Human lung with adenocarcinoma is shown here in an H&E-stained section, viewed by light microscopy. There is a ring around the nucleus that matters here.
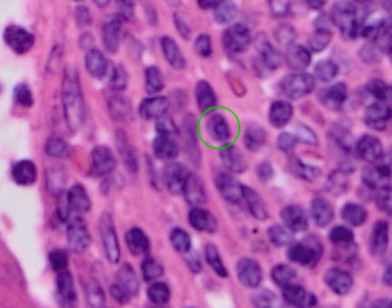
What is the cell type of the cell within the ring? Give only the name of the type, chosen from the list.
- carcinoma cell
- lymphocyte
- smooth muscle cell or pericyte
lymphocyte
